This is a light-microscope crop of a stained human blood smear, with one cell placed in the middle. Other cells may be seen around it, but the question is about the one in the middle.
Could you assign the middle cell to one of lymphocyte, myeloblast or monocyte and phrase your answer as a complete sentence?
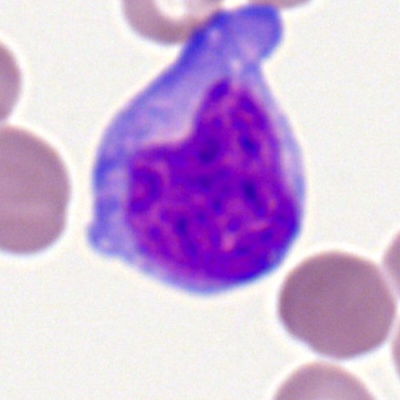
The target cell in the middle of the crop is a myeloblast.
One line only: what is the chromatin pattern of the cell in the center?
This nucleus has coarsely clumped chromatin.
